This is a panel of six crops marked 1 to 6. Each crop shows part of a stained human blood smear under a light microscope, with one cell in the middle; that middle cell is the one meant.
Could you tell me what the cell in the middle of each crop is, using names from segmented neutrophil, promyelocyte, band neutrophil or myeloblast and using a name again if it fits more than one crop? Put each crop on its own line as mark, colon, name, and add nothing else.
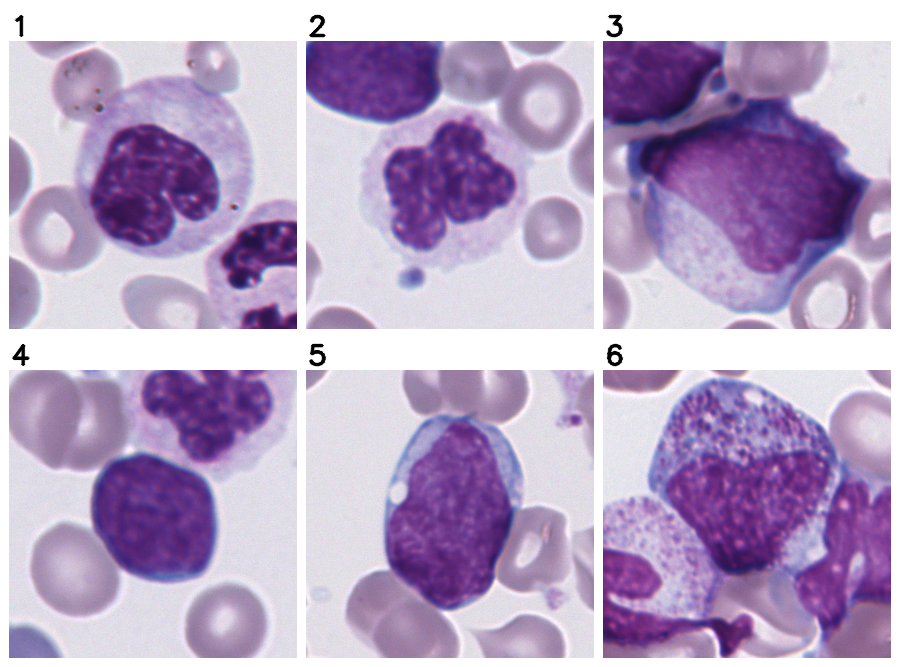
1: band neutrophil
2: segmented neutrophil
3: promyelocyte
4: myeloblast
5: myeloblast
6: promyelocyte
